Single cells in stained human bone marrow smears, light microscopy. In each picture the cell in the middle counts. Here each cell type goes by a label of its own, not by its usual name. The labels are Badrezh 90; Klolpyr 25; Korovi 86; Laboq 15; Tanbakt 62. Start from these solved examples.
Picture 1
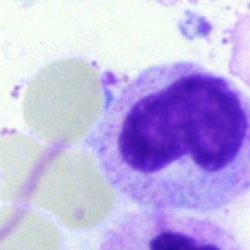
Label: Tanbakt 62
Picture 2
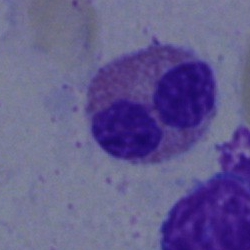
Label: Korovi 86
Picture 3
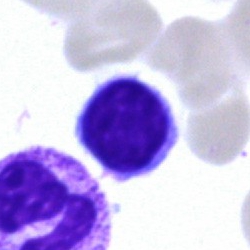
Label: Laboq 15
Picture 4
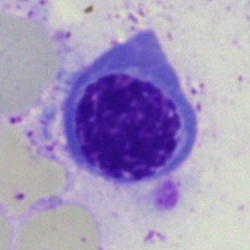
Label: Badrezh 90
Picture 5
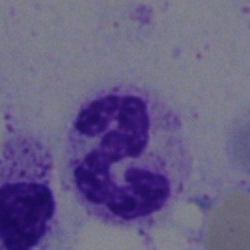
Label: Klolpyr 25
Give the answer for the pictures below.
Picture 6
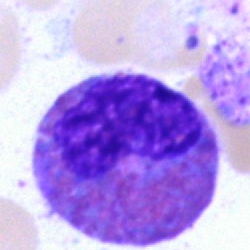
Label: Korovi 86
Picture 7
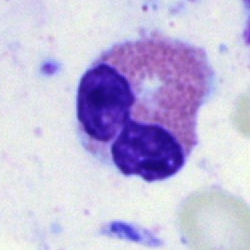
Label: Korovi 86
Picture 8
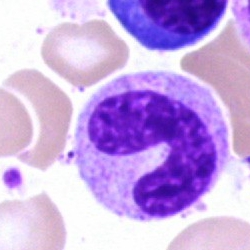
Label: Tanbakt 62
